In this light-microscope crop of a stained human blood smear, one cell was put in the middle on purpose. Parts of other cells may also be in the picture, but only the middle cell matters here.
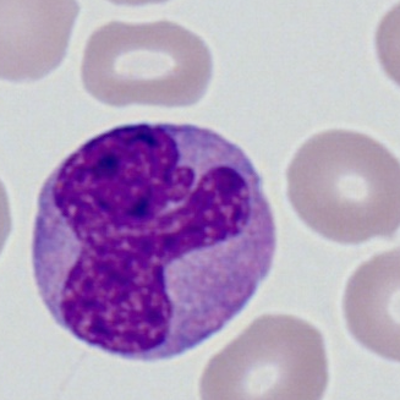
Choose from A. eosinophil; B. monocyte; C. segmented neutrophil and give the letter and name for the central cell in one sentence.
Answer key: option B, the middle cell being a monocyte.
